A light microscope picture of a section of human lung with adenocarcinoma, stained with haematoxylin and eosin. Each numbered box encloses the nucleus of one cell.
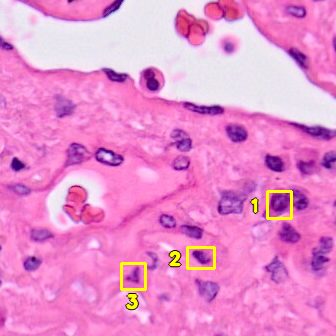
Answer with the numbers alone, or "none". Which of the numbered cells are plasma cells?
1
